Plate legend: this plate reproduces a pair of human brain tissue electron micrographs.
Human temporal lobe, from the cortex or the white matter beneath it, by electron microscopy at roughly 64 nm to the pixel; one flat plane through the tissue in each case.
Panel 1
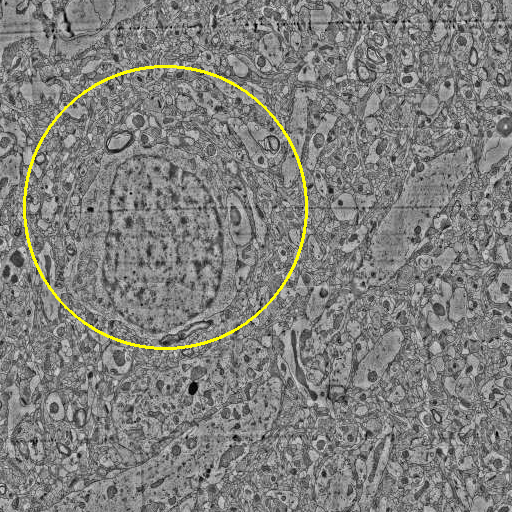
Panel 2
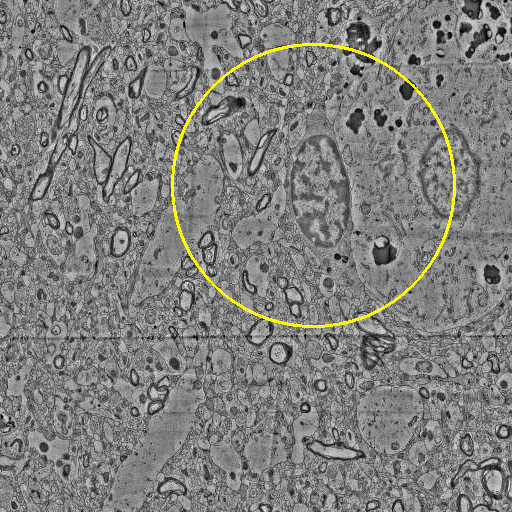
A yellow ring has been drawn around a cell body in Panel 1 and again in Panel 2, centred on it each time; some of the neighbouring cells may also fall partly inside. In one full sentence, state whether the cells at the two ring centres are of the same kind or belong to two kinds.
The ring-centred cells of Panel 1 and Panel 2 belong to two kinds.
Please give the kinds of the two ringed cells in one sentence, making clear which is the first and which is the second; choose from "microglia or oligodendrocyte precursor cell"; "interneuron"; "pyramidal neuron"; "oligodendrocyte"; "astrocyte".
In the second picture the ringed cell is an oligodendrocyte; in the first it is an interneuron.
